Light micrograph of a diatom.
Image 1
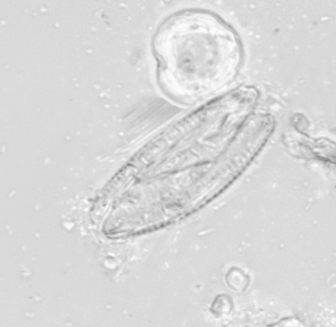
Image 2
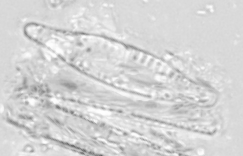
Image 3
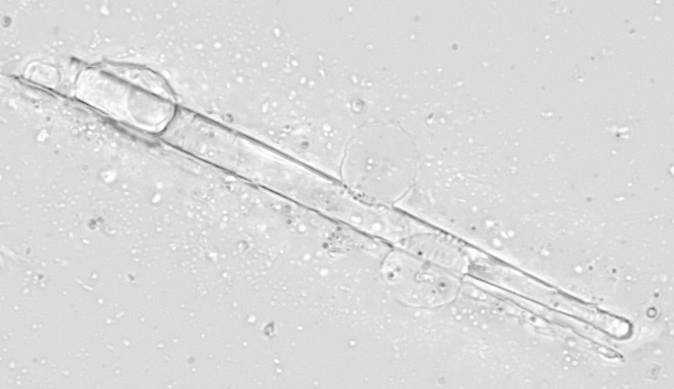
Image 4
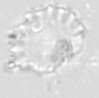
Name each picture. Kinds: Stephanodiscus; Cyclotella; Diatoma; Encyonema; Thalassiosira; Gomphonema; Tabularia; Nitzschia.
(1) Gomphonema
(2) Tabularia
(3) Tabularia
(4) Cyclotella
